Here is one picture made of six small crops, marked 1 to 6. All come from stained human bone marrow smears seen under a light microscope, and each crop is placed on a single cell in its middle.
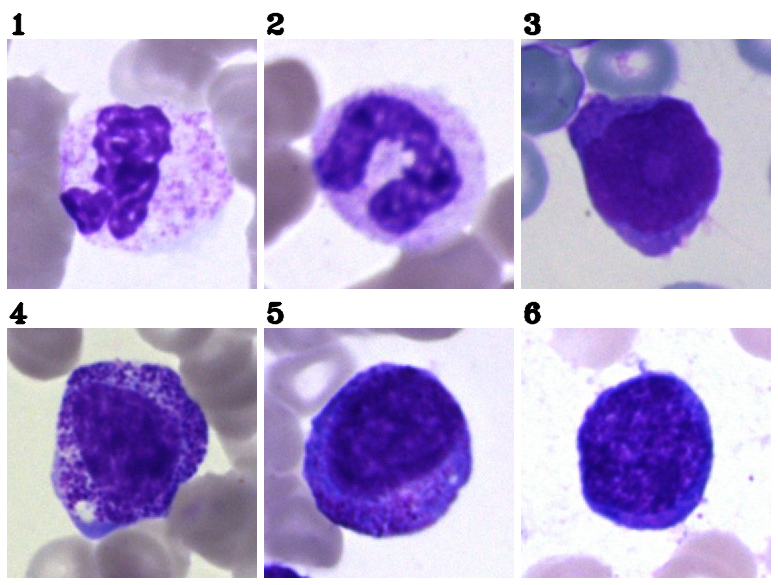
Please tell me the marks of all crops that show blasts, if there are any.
3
